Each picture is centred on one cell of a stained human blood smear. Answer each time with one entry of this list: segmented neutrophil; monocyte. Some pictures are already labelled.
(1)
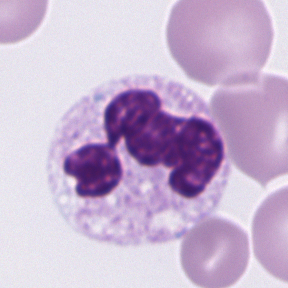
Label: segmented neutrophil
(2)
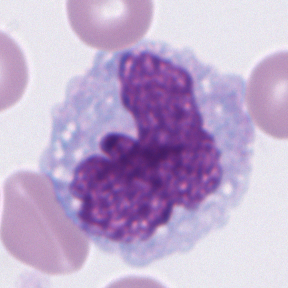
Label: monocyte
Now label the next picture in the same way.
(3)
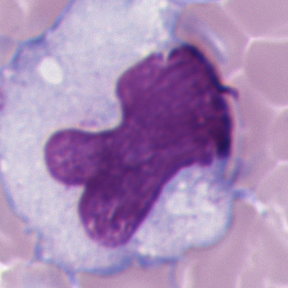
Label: monocyte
